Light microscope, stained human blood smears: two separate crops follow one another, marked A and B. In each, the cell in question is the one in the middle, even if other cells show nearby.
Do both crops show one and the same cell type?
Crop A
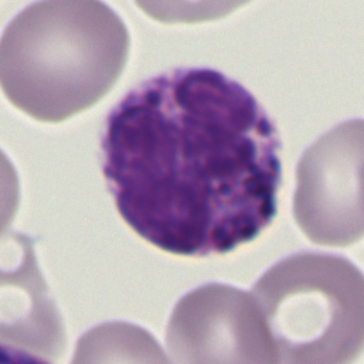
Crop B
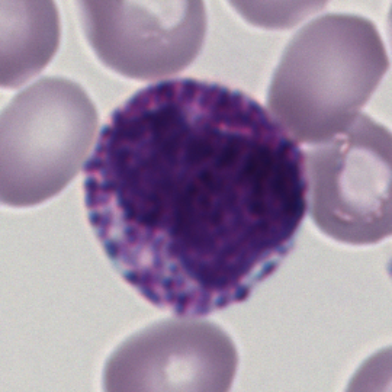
yes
